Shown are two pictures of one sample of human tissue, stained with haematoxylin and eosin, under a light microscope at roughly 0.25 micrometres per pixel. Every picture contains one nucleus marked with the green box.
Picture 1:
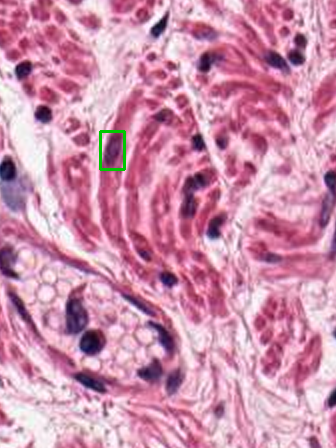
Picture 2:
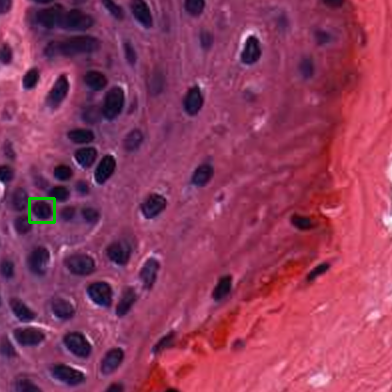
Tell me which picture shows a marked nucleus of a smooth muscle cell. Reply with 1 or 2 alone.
1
